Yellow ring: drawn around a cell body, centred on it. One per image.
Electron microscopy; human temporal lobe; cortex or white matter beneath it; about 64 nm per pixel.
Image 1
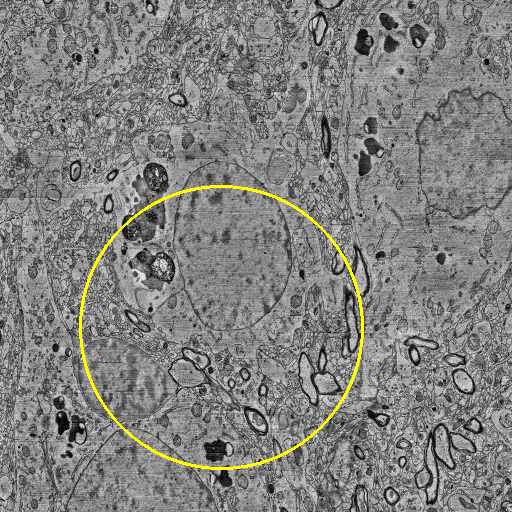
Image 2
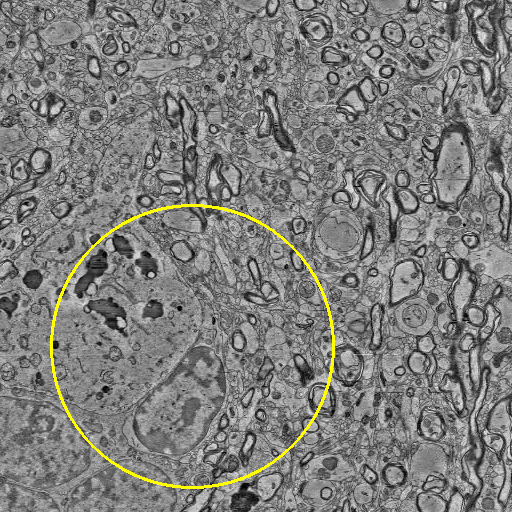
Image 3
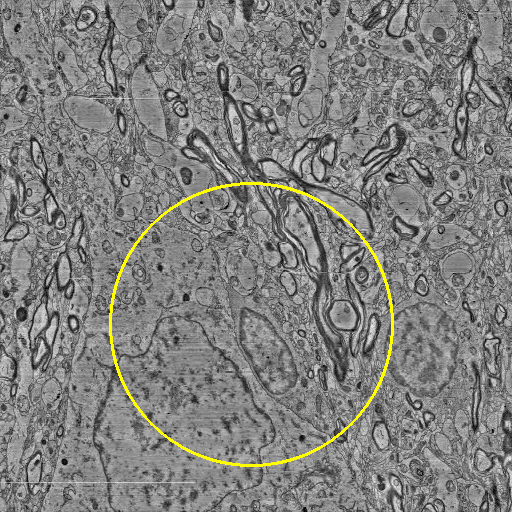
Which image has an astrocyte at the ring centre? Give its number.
1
